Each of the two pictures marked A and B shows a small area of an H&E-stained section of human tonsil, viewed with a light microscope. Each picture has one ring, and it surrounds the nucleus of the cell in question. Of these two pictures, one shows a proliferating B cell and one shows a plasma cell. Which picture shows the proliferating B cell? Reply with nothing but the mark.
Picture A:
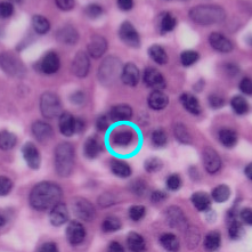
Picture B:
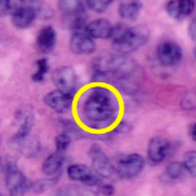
B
